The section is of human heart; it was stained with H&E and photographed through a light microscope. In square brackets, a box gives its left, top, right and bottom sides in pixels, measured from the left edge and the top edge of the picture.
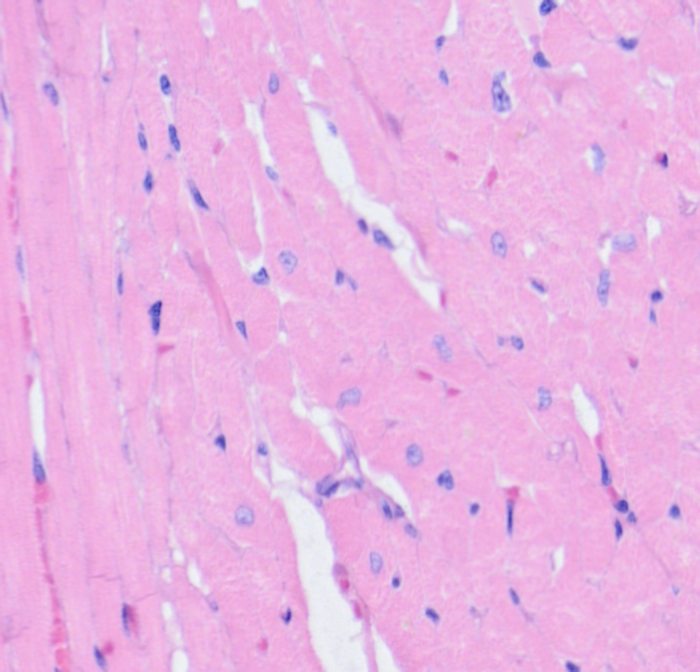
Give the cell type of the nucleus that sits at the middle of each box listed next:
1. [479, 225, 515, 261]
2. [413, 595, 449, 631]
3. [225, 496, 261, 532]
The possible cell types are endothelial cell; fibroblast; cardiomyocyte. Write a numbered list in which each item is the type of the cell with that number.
1. cardiomyocyte
2. endothelial cell
3. cardiomyocyte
